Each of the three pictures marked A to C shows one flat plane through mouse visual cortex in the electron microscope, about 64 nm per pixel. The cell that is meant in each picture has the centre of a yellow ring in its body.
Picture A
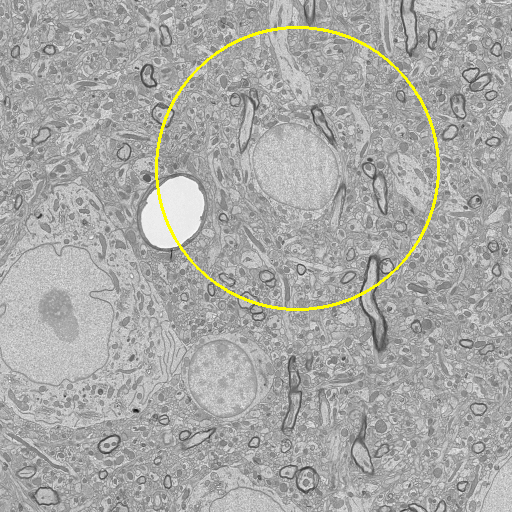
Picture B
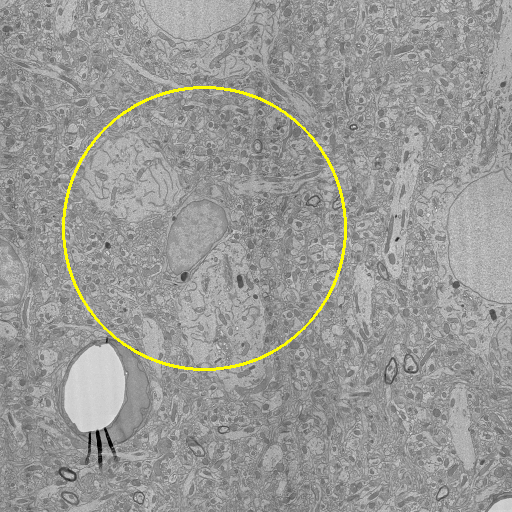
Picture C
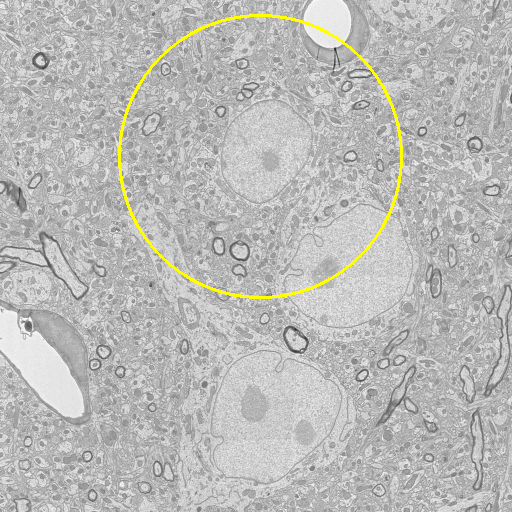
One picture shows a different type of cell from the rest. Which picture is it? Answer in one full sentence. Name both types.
The others show astrocytes, but picture B shows a microglial cell.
